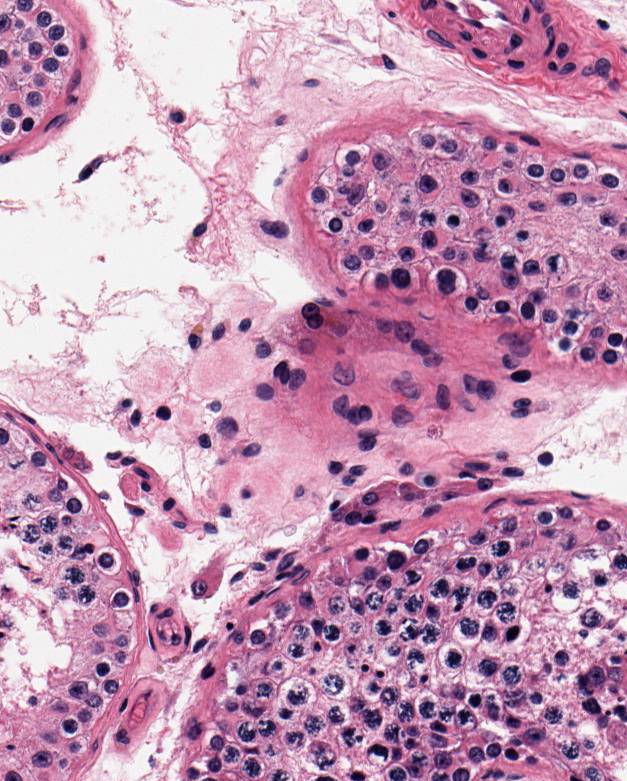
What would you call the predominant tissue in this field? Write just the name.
seminiferous tubule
